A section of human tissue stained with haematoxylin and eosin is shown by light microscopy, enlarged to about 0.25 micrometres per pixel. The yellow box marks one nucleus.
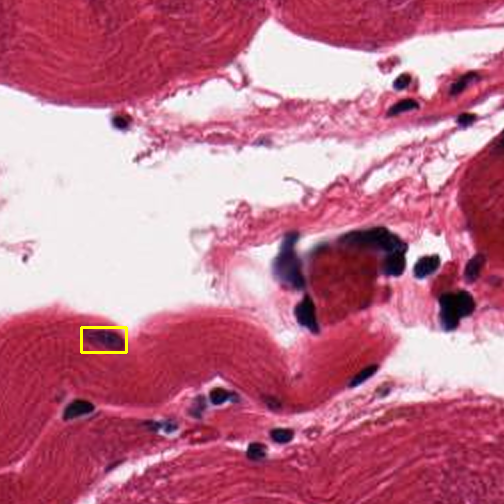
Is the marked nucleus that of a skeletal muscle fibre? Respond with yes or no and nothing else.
yes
